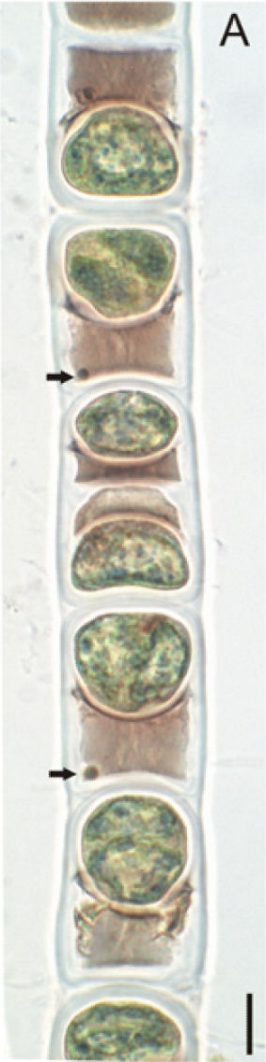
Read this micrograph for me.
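An unbranched filament of cells enclosed in a thick, clear wall. Beside each rounded body, filling the rest of the old cell, is a brownish, somewhat vacuolated residue, and in places tiny dark round granules sit in it at the edge.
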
